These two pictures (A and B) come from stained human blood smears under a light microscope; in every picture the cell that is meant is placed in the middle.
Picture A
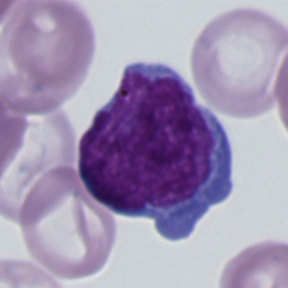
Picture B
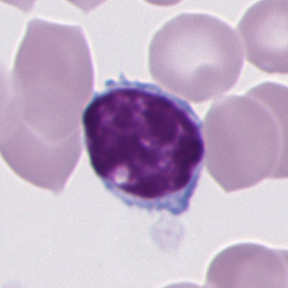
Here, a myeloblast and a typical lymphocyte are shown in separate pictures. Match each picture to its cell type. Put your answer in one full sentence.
Picture B shows a typical lymphocyte, while picture A shows a myeloblast.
